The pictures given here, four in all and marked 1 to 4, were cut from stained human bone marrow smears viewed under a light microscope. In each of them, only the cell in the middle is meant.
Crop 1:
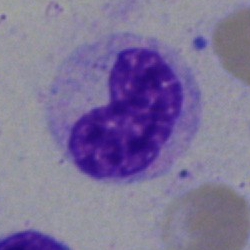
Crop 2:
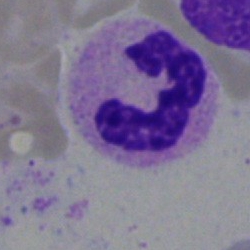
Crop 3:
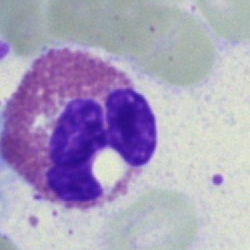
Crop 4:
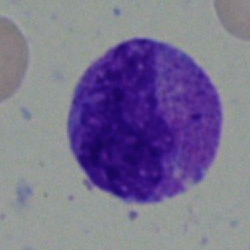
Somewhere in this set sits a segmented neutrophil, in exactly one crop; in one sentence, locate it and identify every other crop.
Crop 2 presents a segmented neutrophil, while crop 1 is a band neutrophil, crop 3 is an eosinophil and crop 4 is a myelocyte.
